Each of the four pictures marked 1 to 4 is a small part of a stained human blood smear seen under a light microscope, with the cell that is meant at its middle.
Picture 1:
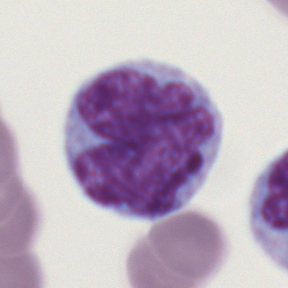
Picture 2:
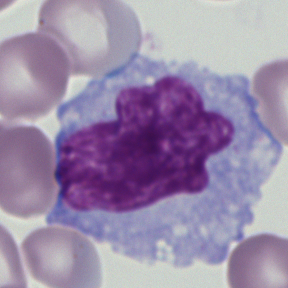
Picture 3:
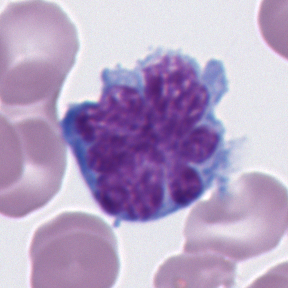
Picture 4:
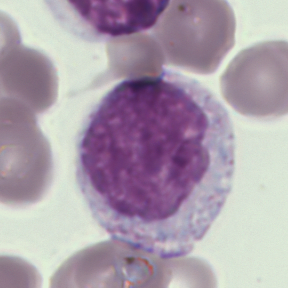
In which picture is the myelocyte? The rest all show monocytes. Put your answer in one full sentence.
It is picture 4 that shows the myelocyte.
